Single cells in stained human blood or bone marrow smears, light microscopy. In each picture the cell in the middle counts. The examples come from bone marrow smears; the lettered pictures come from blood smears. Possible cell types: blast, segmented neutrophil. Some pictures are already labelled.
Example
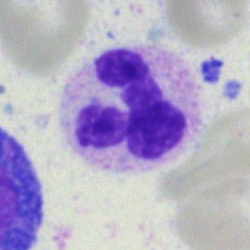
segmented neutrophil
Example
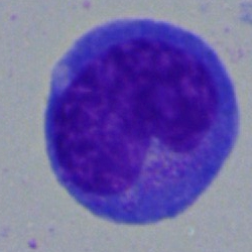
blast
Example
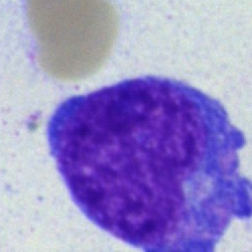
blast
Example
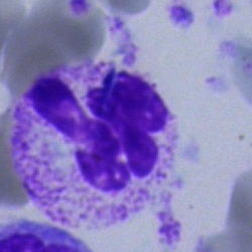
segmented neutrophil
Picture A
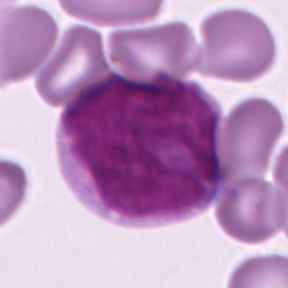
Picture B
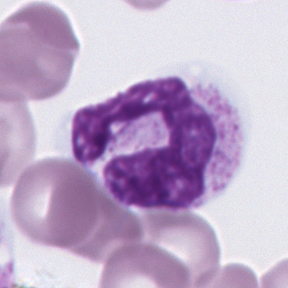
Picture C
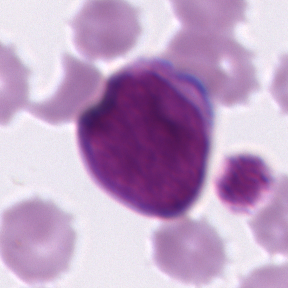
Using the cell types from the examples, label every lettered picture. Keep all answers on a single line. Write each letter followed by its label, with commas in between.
A blast, B segmented neutrophil, C blast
